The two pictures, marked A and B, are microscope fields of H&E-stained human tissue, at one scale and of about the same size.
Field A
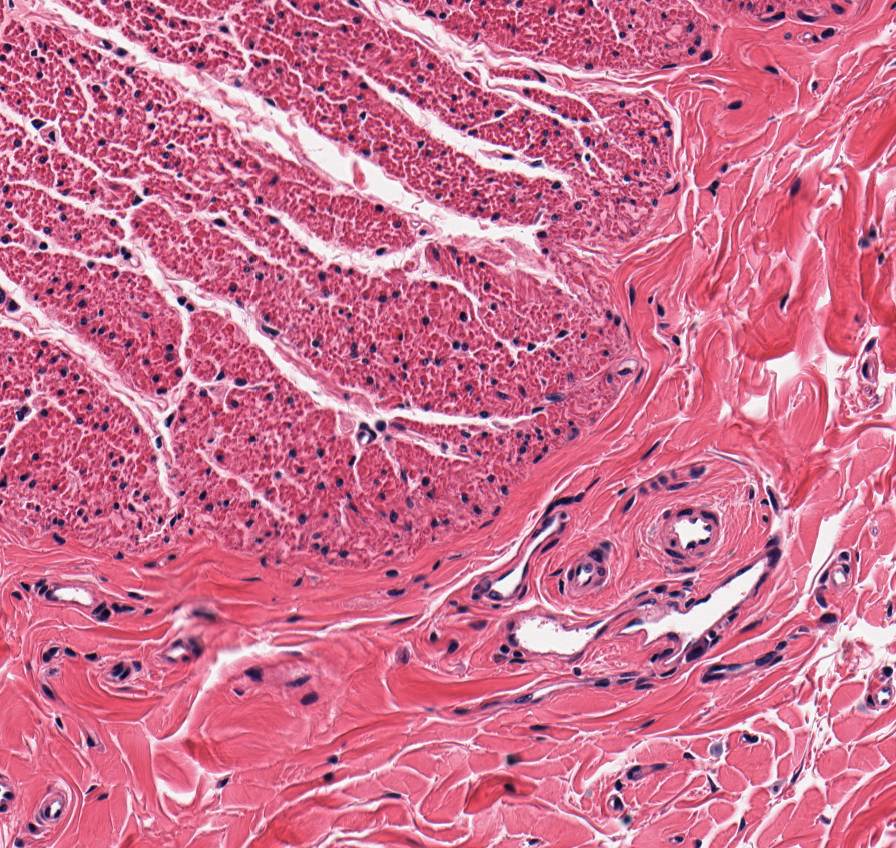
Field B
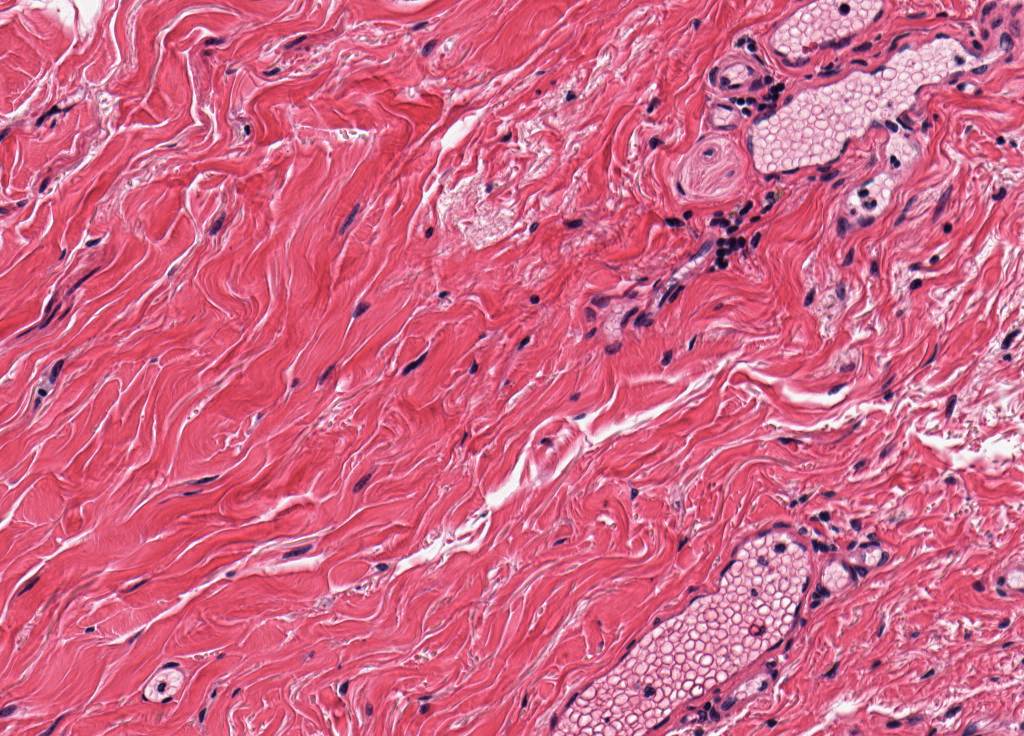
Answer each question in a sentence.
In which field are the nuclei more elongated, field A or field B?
Longer, more slender nuclei lie in field B.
